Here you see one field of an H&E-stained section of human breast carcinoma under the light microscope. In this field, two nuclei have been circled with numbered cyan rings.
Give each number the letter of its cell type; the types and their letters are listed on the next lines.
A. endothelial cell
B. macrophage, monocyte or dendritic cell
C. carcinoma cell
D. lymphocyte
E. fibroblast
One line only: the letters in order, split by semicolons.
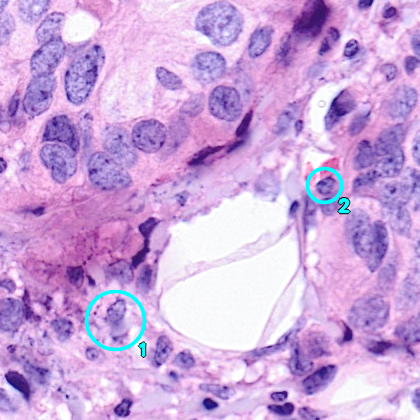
B; A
